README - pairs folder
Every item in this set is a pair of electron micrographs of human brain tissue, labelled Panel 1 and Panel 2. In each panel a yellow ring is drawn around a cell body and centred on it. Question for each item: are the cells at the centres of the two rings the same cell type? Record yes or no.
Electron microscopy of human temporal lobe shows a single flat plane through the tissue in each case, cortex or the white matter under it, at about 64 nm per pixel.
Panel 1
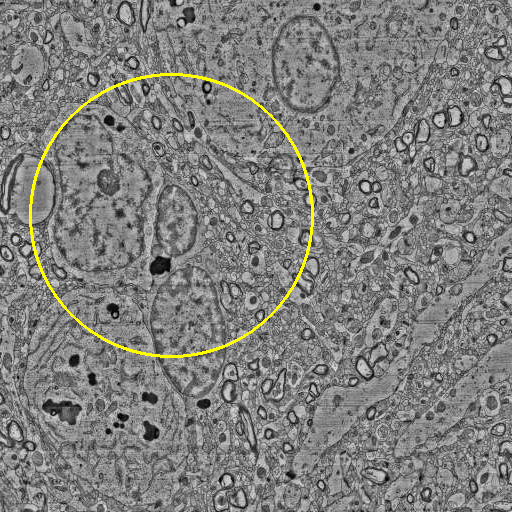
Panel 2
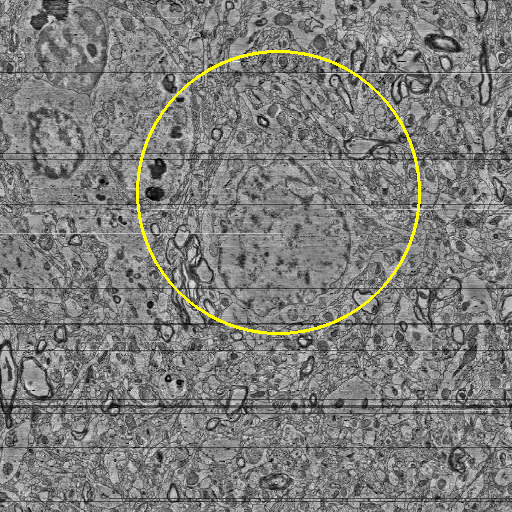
no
